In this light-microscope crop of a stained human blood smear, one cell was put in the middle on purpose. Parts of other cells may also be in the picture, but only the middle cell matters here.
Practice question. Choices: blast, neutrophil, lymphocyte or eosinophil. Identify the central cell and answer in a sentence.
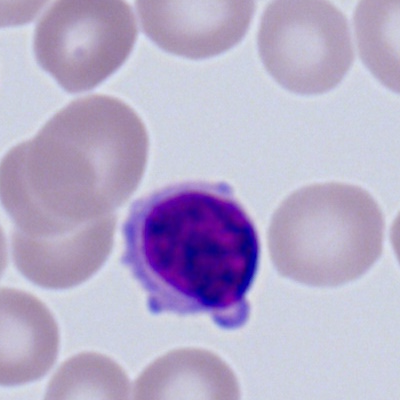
The centrally located cell in the crop is a lymphocyte.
